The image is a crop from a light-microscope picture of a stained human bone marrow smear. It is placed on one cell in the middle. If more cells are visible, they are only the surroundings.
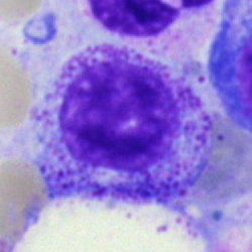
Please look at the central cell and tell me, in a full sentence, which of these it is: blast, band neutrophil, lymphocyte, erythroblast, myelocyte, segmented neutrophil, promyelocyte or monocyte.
The centrally located cell in the crop is a myelocyte.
